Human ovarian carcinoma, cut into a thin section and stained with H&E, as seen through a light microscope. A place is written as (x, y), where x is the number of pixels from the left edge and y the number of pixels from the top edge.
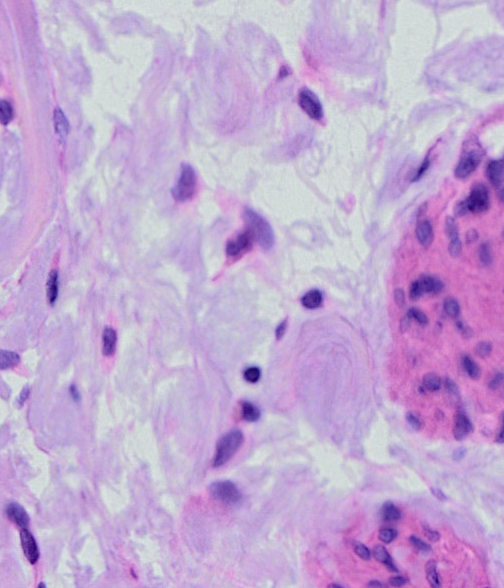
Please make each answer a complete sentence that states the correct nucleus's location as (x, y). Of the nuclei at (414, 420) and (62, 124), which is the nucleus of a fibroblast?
The nucleus that belongs to a fibroblast sits at (62, 124).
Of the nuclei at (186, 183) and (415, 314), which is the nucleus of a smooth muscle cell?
At (415, 314) lies the nucleus that belongs to a smooth muscle cell.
